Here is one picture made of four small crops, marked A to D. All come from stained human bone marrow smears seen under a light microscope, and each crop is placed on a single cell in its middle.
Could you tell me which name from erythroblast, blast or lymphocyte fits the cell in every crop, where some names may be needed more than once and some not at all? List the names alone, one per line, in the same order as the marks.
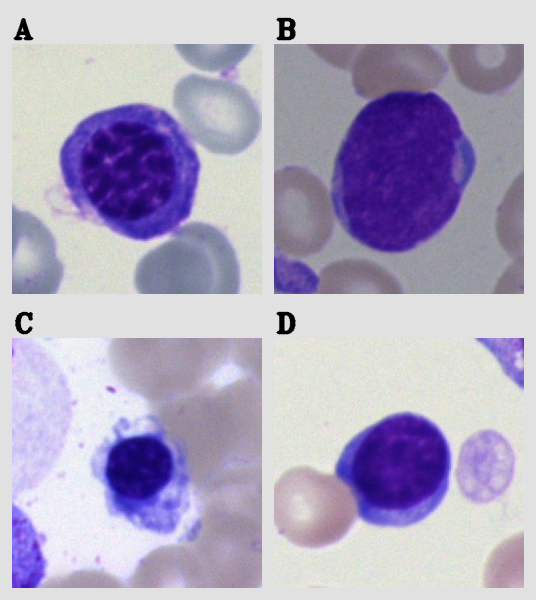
erythroblast
blast
erythroblast
lymphocyte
